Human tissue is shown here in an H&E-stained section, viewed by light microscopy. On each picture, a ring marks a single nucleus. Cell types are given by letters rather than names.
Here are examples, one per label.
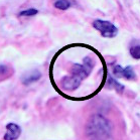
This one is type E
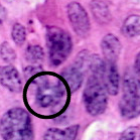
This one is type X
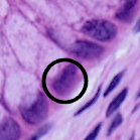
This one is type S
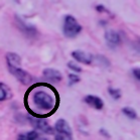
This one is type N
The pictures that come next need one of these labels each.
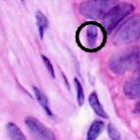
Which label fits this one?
type S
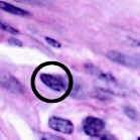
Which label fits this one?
type N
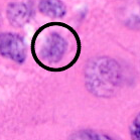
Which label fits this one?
type X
